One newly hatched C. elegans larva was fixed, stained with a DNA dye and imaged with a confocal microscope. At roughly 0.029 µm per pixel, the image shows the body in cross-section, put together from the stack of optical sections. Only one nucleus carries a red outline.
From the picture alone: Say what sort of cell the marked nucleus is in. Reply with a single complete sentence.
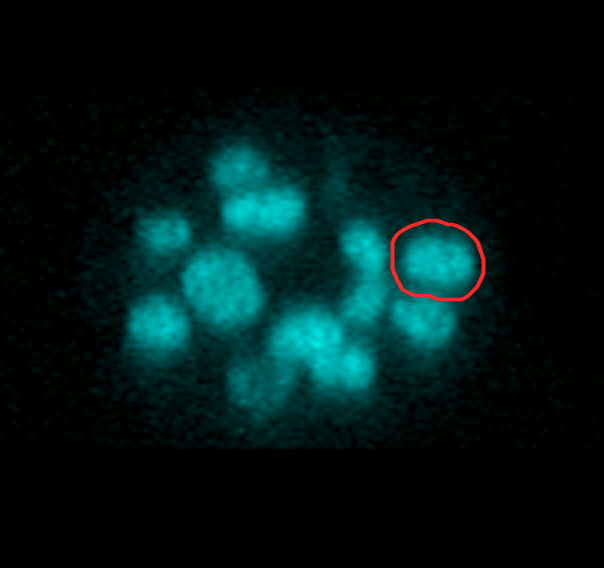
The marked cell is a neuron.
